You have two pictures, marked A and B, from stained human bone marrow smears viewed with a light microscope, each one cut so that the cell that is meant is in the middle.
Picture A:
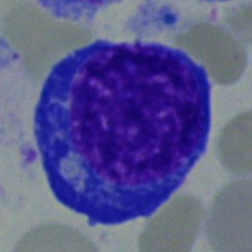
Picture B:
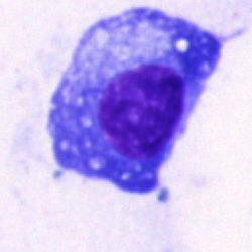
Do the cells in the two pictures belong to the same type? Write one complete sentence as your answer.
No, they differ: the cell is a proerythroblast in picture A and a plasma cell in picture B.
